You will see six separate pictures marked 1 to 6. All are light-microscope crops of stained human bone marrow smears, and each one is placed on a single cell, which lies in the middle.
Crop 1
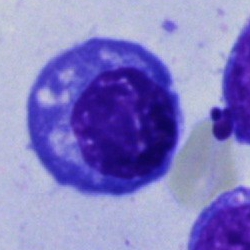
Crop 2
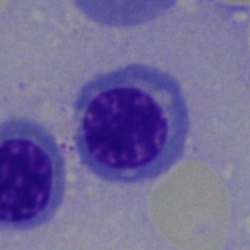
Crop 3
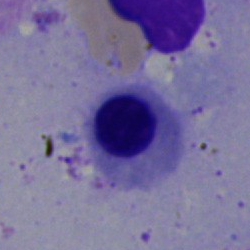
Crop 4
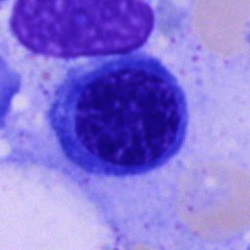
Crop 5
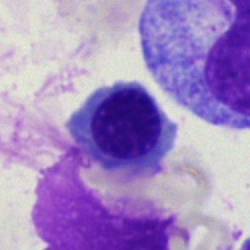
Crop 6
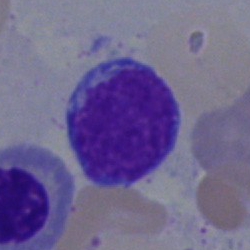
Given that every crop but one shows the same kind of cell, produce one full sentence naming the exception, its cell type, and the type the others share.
All crops show normoblasts except crop 6, which is a lymphocyte.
